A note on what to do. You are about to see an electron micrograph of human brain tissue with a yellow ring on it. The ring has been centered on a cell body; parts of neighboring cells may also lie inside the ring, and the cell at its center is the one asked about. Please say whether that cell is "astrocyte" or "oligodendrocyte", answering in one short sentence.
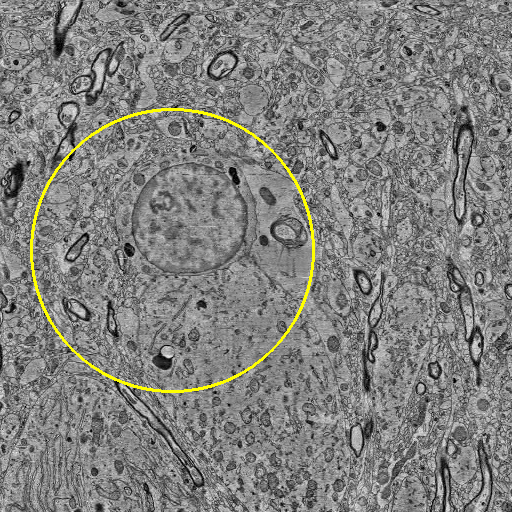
The yellow ring sits on an oligodendrocyte.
